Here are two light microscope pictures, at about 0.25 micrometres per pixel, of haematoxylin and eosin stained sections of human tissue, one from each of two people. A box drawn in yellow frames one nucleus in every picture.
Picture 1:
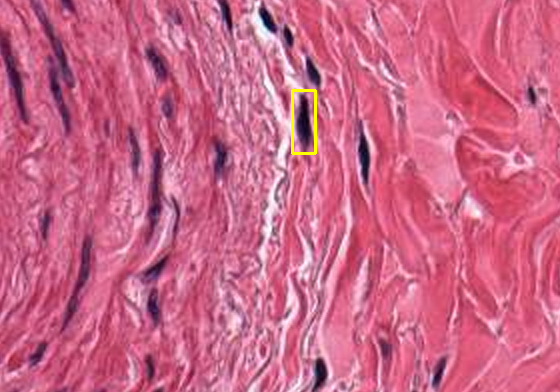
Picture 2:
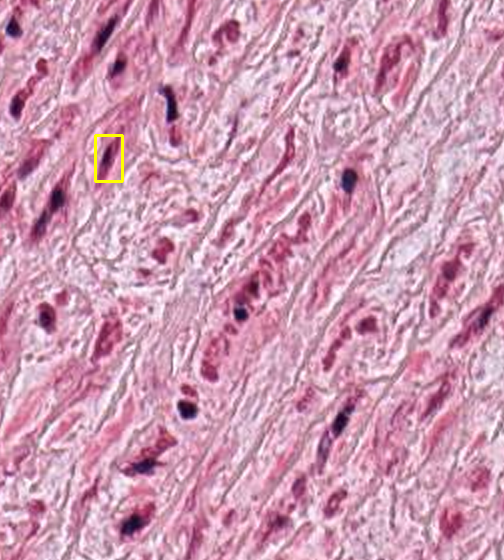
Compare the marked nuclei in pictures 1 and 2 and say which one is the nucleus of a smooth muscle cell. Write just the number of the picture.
2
